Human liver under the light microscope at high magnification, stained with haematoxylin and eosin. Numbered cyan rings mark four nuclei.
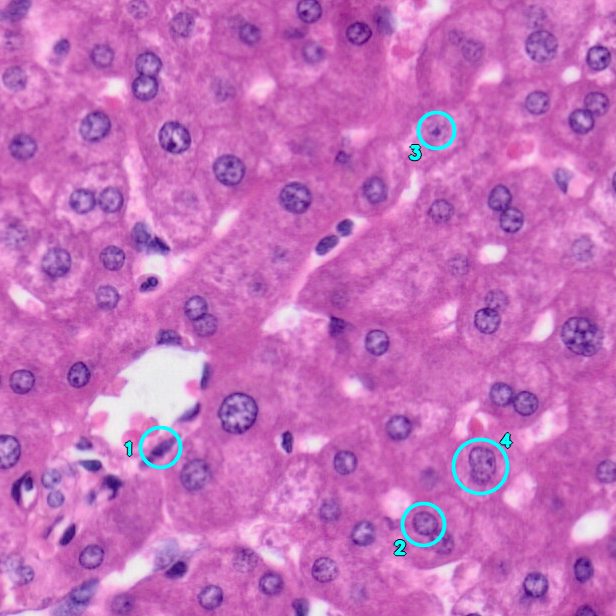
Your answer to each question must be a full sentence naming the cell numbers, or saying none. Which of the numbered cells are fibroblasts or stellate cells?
Of all the cells bearing numbers, cell 1 is the only one that is a fibroblast or stellate cell.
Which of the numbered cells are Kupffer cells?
The marked and numbered cells comprise no Kupffer cells.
